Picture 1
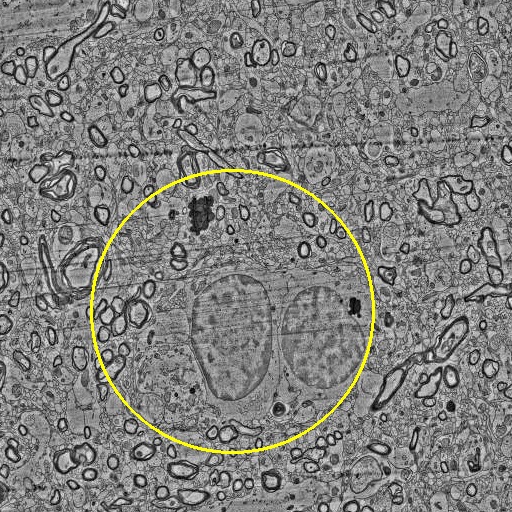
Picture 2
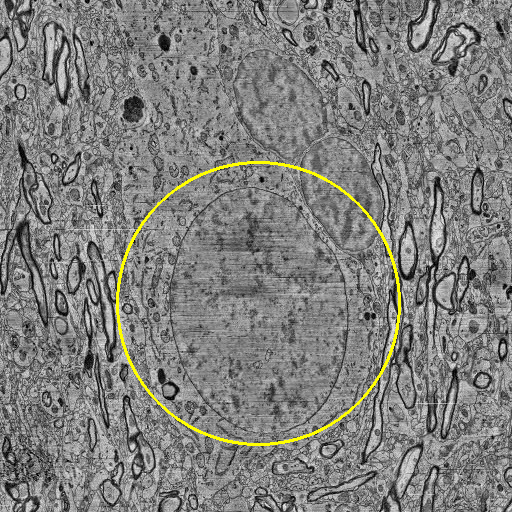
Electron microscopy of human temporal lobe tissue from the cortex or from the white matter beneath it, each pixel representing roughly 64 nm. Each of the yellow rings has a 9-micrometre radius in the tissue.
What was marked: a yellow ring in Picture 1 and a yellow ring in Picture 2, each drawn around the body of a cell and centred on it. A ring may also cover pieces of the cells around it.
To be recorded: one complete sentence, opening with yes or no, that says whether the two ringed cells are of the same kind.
No, the two ringed cells are of two kinds.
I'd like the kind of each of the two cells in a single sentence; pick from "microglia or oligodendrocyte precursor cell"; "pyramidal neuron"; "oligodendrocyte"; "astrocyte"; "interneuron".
The first ring marks an oligodendrocyte, and the second ring marks a pyramidal neuron.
